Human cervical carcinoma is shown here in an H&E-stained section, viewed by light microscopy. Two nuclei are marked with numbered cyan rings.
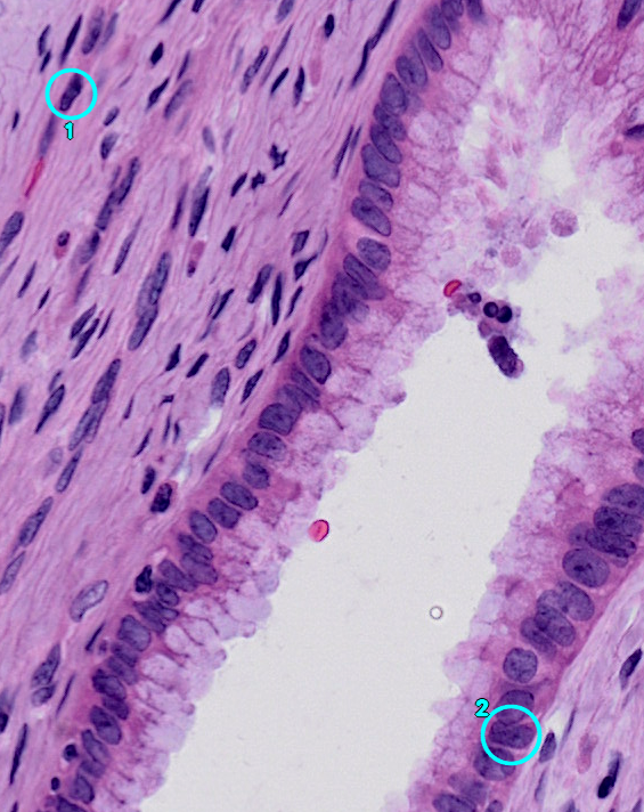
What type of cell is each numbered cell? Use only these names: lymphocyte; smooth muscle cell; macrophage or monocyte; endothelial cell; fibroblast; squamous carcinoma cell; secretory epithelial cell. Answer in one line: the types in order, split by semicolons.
endothelial cell; secretory epithelial cell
